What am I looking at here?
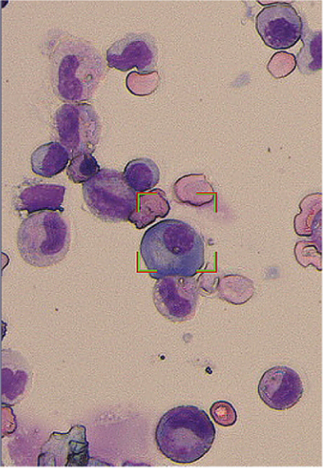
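Here a plasma cell sits within the corner brackets, next to small pink red cells and cells with curved or lobed nuclei. The plasma cell is round, with a purple nucleus lying off centre and a broad rim of blue-grey cytoplasm. Around it the red cells are small, pale and without nuclei, some of them folded or misshapen. Further away other round cells with blue cytoplasm can be seen.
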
